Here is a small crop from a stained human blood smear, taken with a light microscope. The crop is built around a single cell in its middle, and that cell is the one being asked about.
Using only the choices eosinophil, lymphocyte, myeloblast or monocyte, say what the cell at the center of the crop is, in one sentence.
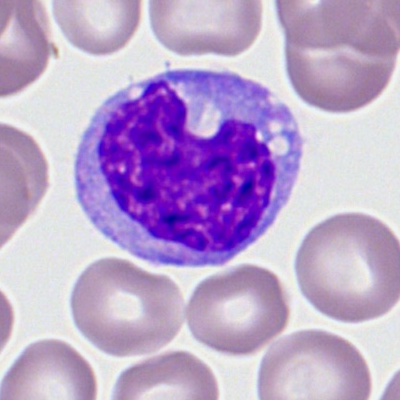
The cell at the heart of this crop is a monocyte.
